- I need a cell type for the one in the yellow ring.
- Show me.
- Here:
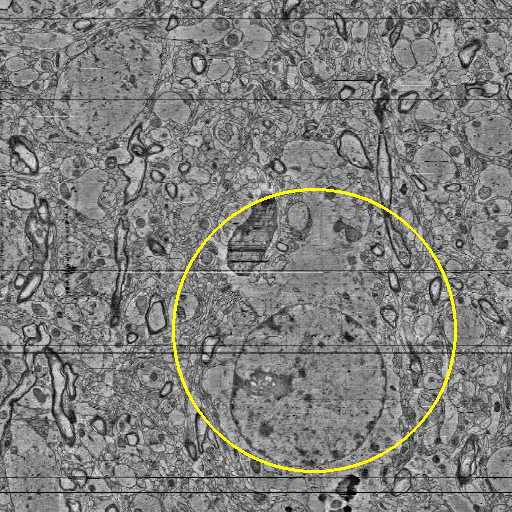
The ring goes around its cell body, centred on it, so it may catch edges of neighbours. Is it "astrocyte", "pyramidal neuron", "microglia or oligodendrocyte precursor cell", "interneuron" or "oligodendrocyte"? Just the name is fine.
astrocyte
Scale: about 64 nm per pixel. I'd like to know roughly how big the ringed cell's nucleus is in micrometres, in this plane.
In this plane the ringed cell's nucleus is roughly 10 micrometres across.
